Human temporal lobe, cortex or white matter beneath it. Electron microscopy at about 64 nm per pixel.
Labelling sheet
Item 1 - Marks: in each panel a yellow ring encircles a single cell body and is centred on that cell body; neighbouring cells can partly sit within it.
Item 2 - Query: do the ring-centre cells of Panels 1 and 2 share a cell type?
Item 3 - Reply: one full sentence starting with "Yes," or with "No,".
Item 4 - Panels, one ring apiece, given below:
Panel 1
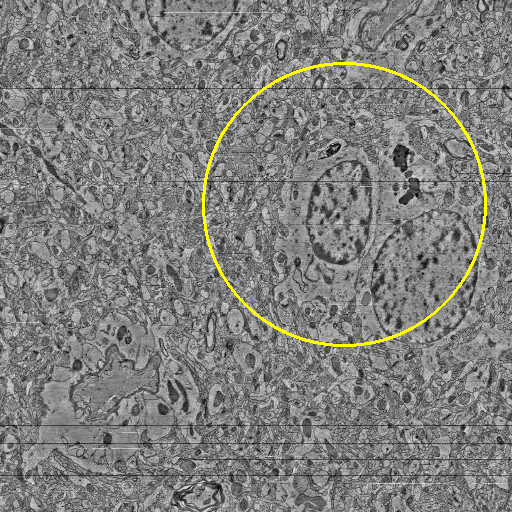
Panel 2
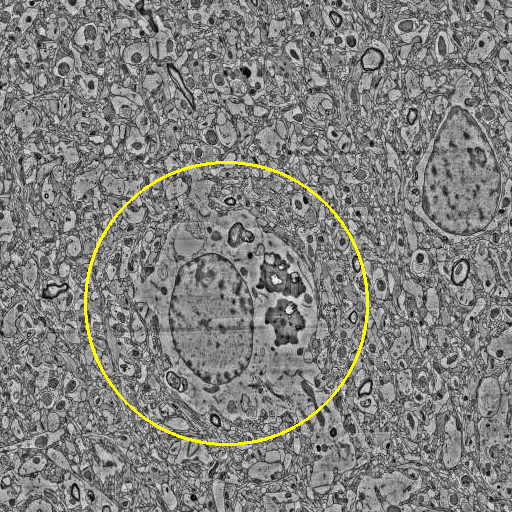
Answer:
Yes, Panel 1 and Panel 2 show one cell type at the centres of their rings.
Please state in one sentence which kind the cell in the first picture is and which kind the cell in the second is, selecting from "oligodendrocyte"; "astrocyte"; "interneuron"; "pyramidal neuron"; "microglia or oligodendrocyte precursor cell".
Both the first and the second picture show an astrocyte in the ring.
